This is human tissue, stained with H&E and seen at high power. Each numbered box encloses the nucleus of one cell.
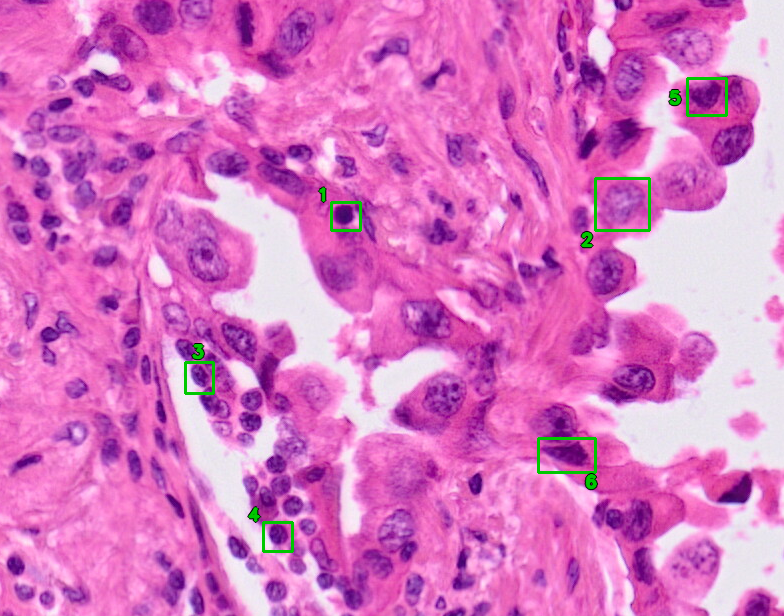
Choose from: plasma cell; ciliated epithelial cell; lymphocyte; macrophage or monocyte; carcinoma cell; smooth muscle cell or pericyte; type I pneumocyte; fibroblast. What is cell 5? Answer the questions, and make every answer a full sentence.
The identity of cell 5 is that of a carcinoma cell.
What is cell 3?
The marked cell bearing number 3 is a lymphocyte.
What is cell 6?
The marked cell bearing number 6 is a carcinoma cell.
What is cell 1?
It is as a lymphocyte that the cell numbered 1 is identified.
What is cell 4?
The numeral 4 marks a lymphocyte in this section.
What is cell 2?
Number 2 among the marked cells is a carcinoma cell.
